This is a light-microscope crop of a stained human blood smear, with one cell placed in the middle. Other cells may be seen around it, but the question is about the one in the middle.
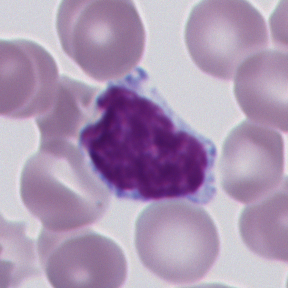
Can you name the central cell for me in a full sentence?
Framed in the middle of the crop is a typical lymphocyte.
